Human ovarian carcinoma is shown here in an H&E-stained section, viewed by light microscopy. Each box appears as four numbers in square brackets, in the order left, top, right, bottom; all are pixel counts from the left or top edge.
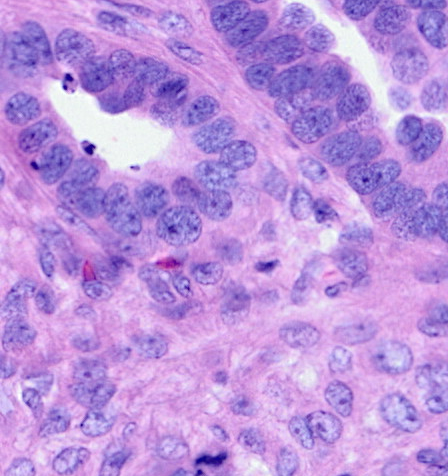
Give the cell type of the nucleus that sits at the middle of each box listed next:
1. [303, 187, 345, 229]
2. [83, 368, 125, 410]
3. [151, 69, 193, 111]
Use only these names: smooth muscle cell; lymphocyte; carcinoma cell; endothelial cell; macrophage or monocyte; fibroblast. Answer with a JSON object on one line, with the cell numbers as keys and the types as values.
{"1": "macrophage or monocyte", "2": "fibroblast", "3": "carcinoma cell"}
